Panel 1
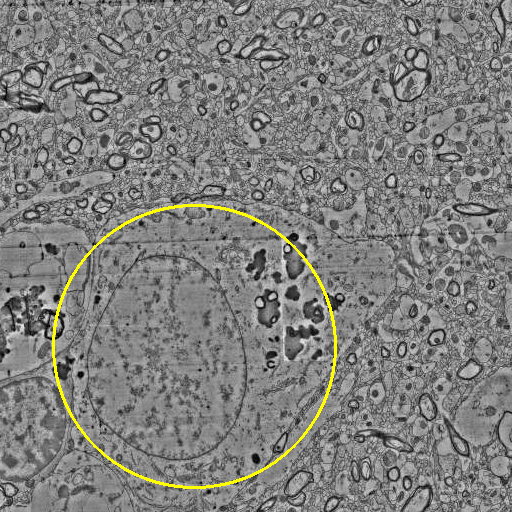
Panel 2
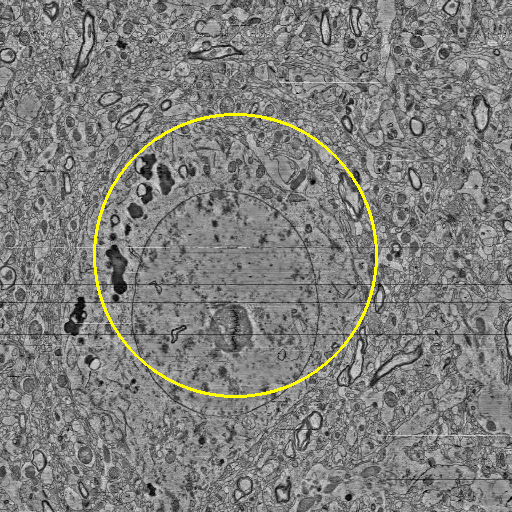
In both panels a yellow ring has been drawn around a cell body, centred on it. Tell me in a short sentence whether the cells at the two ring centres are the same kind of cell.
Yes, they are the same kind of cell.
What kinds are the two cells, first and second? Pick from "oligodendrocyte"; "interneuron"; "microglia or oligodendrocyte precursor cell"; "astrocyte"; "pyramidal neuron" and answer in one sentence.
Each cell, in the first picture and the second, is a pyramidal neuron.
